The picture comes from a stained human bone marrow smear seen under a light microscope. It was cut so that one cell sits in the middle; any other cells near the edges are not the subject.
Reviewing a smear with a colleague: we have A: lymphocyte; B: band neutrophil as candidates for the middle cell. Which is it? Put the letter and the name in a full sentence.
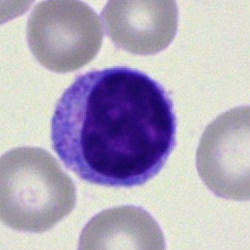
In this crop the middle cell is a lymphocyte, so option A is the correct answer.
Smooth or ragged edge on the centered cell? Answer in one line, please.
A smooth, projection-free outline is what this cell has.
